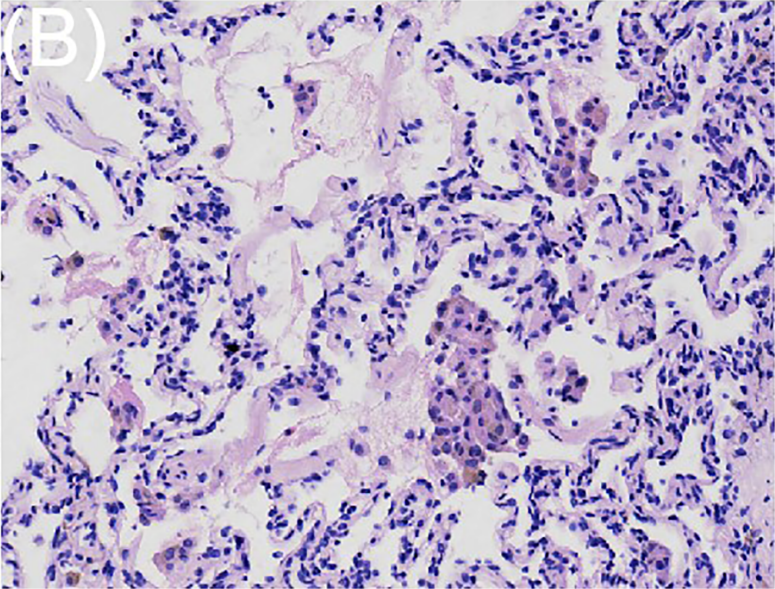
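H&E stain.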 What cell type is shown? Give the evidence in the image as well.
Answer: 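Brown pigmented macrophages. Clusters of large rounded cells lie free within the air spaces. These cells have abundant pink cytoplasm with brown granular pigment. They are much larger than the dark, slender nuclei of the thin septal walls.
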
